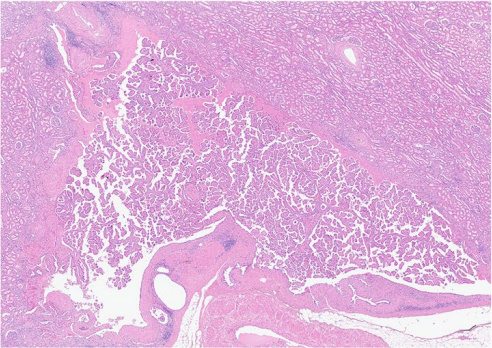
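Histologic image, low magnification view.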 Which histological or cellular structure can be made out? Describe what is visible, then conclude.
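Many thin, branching finger-like fronds fill a well-circumscribed nodule.
Answer: thin papillary architecture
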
